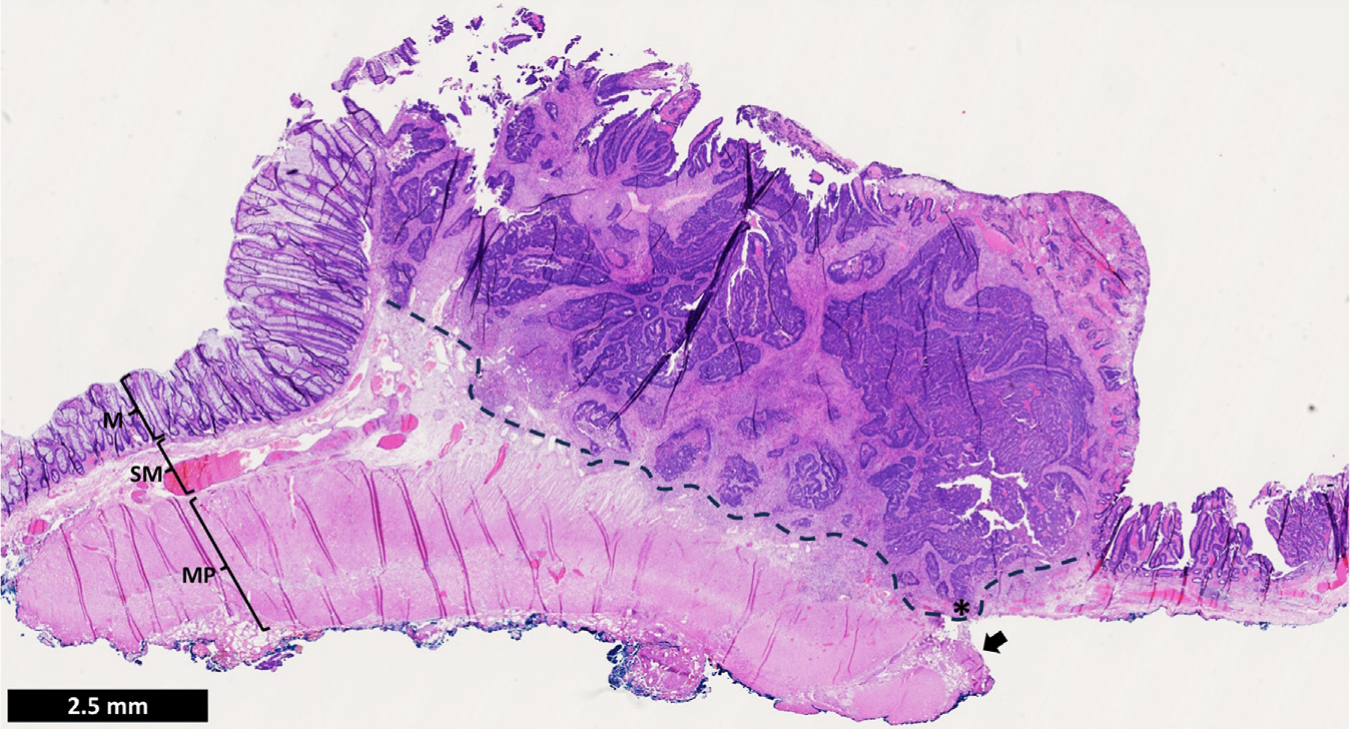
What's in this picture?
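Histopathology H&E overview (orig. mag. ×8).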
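This low-power section of bowel wall shows a tumor made of crowded, irregular, dark purple glands that replace the normal mucosa and push down into the submucosa. At the left edge, normal mucosa keeps its regular, parallel, test-tube-like crypts. Beneath it lies a thin band of loose, pale submucosa holding blood vessels, and below that a thick layer of pink smooth muscle, the muscularis propria. The tumor glands are branched and packed back to back, with dark-staining nuclei, and they form rounded nests along a lower edge that reaches deep into the submucosa, just above the muscle layer. On the right the tumor stops sharply where normal mucosa with regular crypts resumes.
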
